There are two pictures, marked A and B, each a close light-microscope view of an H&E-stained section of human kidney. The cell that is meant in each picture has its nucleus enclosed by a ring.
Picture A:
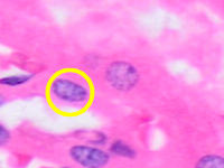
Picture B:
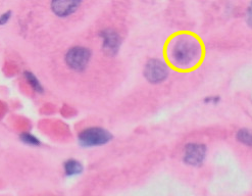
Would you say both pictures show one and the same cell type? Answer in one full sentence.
No, the types are not the same, since picture A shows a collecting duct cell and picture B a proximal tubule cell.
